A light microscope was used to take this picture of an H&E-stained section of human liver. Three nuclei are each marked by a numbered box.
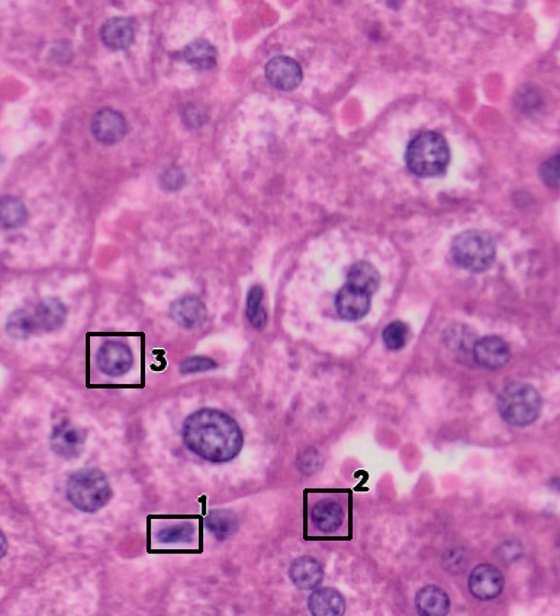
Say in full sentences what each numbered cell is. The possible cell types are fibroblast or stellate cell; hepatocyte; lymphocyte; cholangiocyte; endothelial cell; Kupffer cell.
Cell 1 is a lymphocyte, cell 2 is a hepatocyte and cell 3 is a hepatocyte.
